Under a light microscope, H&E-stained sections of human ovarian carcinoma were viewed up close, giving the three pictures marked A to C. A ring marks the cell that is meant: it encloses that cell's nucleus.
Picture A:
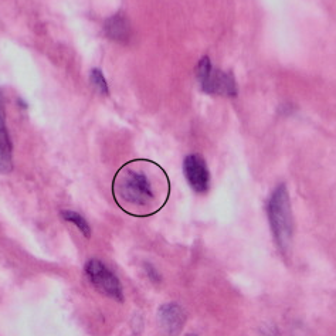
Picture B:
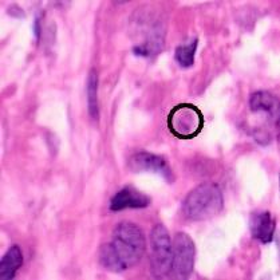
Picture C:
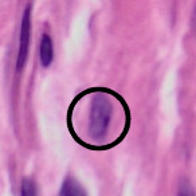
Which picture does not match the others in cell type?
B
